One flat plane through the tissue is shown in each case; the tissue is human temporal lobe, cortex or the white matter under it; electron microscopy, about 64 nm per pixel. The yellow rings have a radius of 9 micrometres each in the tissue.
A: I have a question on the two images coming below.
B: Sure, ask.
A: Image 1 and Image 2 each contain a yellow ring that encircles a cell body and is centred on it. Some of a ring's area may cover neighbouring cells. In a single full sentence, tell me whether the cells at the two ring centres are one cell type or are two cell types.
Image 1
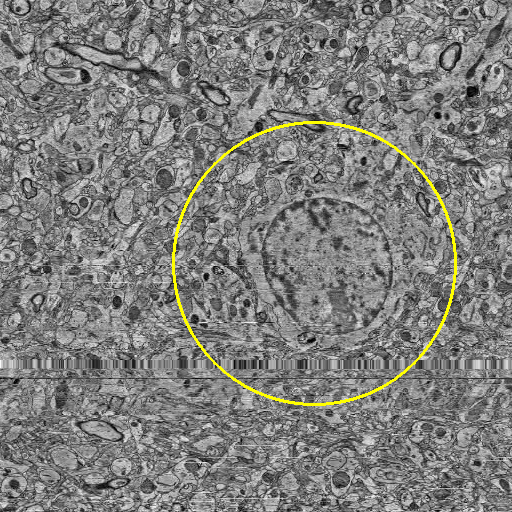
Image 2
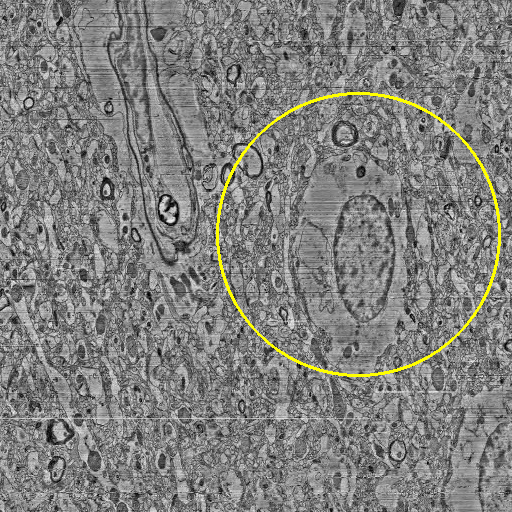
As for the ring-centre cells, the one in Image 1 and the one in Image 2 are one cell type.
